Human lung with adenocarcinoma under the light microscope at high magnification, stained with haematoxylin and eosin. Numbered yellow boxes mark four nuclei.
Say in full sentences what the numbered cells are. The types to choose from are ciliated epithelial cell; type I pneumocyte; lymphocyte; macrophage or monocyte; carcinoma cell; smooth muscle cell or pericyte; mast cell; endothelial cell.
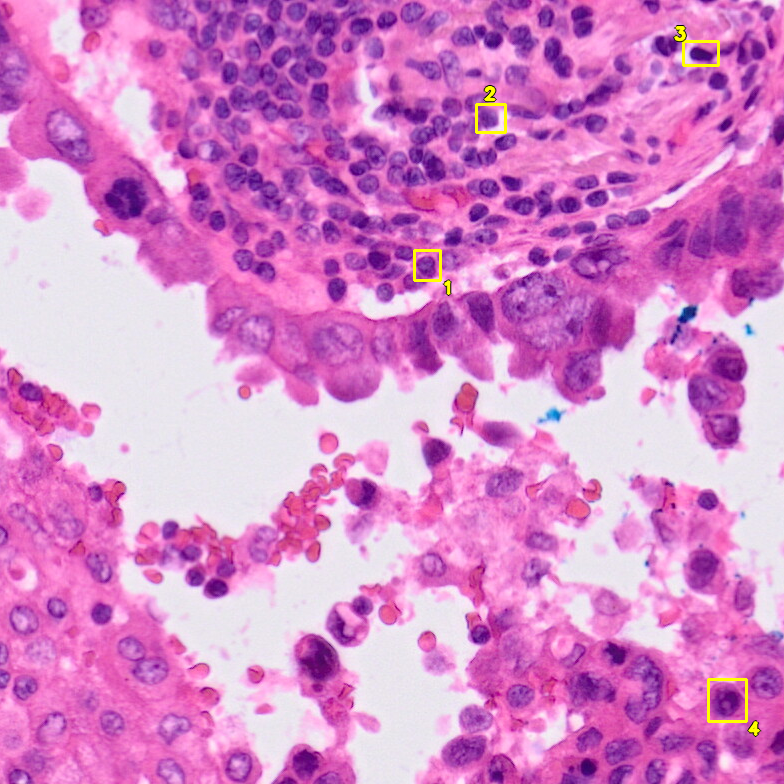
Cell 1 is a lymphocyte, cell 2 is a lymphocyte, cell 3 is a lymphocyte and cell 4 is a carcinoma cell.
